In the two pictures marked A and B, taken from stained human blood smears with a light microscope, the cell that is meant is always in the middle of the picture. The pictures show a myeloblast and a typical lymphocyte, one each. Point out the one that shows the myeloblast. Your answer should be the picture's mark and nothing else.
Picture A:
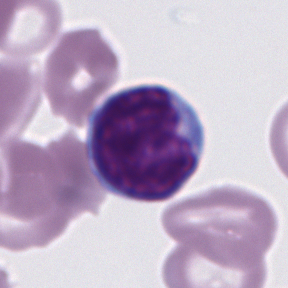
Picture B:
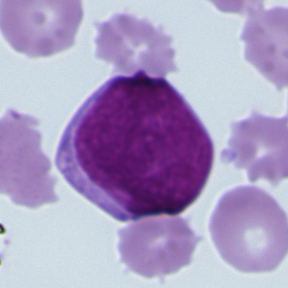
B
